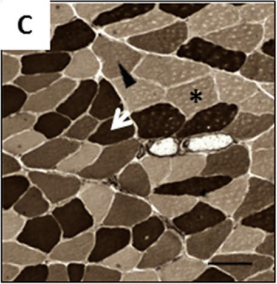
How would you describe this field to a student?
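Cross section of skeletal muscle with polygonal fibers of differing staining intensity packed side by side. Near the centre, small vessel profiles with clear lumens lie between the fibers.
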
